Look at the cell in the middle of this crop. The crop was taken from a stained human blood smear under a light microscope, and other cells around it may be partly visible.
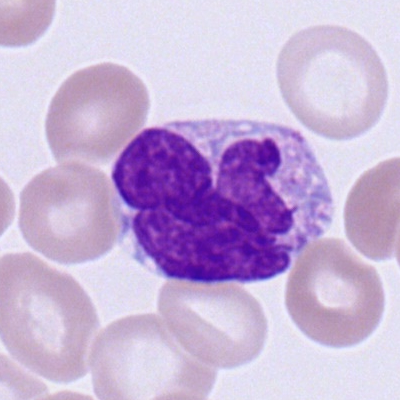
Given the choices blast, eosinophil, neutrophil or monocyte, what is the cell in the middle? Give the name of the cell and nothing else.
monocyte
